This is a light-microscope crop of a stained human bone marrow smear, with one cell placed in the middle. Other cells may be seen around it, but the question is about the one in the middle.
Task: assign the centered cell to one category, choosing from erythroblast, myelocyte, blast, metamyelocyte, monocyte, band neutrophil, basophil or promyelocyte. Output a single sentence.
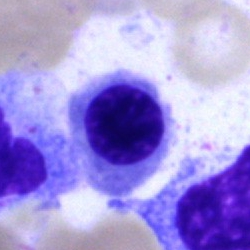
Here the cell in the middle is an erythroblast.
